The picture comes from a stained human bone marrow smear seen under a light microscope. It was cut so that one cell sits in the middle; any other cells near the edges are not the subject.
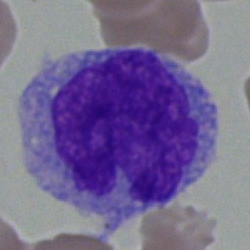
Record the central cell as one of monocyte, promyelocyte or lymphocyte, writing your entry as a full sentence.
Standing at the centre of this crop is a monocyte.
